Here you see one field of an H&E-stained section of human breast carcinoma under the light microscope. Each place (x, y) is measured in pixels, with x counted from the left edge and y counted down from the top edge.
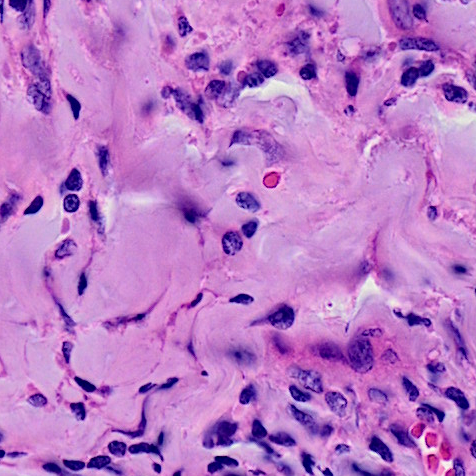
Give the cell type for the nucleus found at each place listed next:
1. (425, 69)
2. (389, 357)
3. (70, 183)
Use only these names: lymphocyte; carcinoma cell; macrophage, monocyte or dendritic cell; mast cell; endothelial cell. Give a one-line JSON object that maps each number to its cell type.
{"1": "lymphocyte", "2": "endothelial cell", "3": "lymphocyte"}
